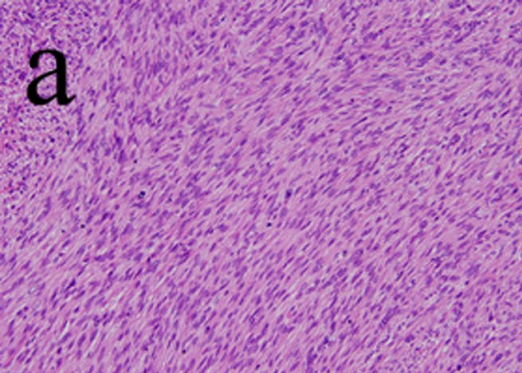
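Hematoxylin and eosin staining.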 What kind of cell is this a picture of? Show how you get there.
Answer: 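Atypical spindle cells. Elongated cells with cigar-shaped to spindle nuclei. Pink cytoplasm. Nuclei vary in size and staining.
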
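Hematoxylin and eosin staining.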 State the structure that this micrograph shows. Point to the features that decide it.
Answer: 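Spindle cells run in parallel bundles.
Conclusion: fascicles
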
